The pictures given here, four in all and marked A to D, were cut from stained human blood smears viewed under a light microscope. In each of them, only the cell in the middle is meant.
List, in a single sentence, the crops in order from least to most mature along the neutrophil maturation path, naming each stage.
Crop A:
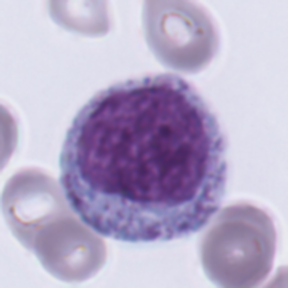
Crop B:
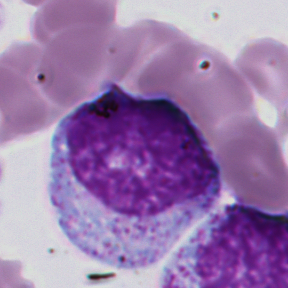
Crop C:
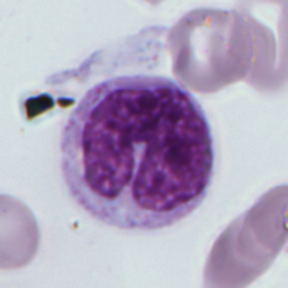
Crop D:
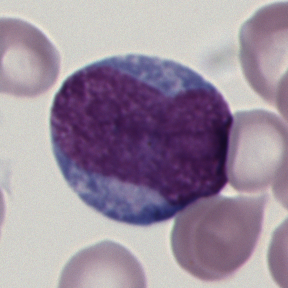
Least to most mature, the order stands as crop D (a blast), crop A (a promyelocyte), crop B (a myelocyte) and crop C (a band neutrophil).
